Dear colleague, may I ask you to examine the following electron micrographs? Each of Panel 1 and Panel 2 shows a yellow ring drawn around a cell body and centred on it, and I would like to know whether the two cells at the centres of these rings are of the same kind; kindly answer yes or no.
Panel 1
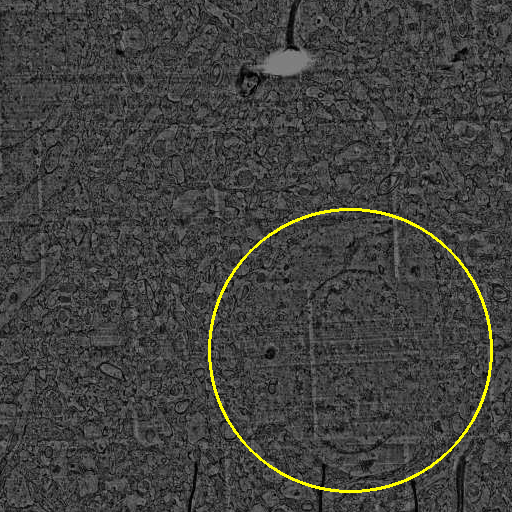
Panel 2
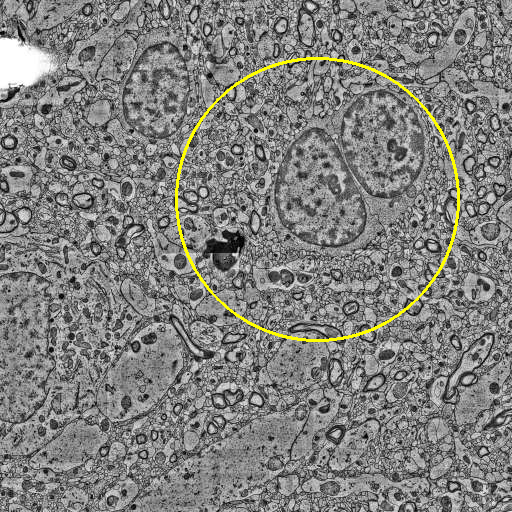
no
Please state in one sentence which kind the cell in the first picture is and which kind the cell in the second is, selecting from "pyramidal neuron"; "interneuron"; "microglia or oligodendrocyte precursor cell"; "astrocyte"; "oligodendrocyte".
The first ringed cell is a pyramidal neuron, the second ringed cell an oligodendrocyte.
